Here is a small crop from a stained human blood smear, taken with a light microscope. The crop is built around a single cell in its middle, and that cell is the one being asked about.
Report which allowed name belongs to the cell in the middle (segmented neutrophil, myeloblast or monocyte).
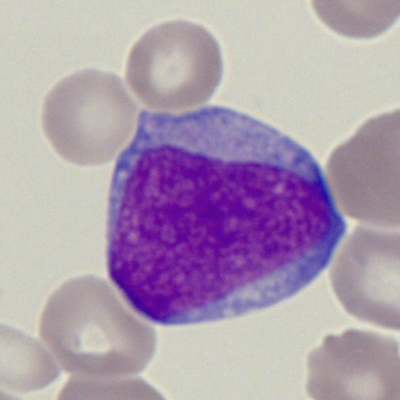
myeloblast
